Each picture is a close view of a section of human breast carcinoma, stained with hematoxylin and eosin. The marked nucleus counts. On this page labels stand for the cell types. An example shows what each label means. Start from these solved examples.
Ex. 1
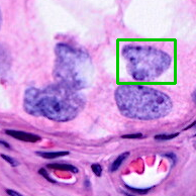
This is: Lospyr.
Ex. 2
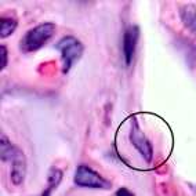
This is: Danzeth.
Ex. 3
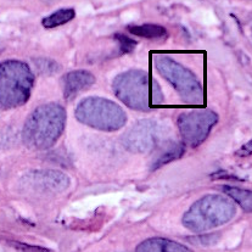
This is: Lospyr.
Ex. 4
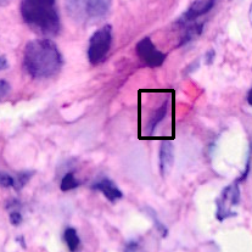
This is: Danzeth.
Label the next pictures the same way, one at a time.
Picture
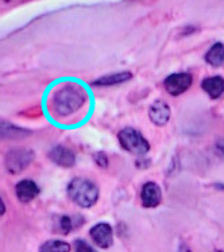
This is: Danzeth.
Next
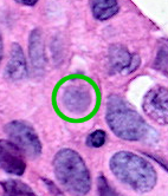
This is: Lospyr.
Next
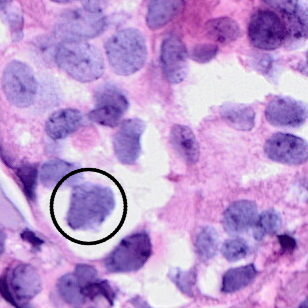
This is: Lospyr.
